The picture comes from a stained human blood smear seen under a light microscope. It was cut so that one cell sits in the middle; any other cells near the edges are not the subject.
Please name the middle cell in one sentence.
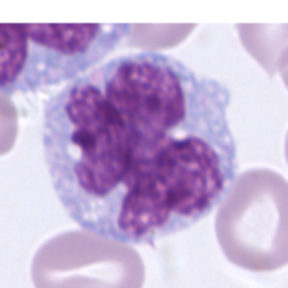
The cell featured at the centre of this crop is a monocyte.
